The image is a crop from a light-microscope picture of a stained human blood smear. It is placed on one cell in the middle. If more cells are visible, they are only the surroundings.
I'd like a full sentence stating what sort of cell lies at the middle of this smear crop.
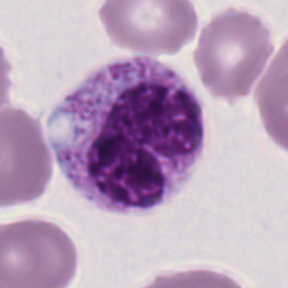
In the middle of this smear crop, the cell is a band neutrophil.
